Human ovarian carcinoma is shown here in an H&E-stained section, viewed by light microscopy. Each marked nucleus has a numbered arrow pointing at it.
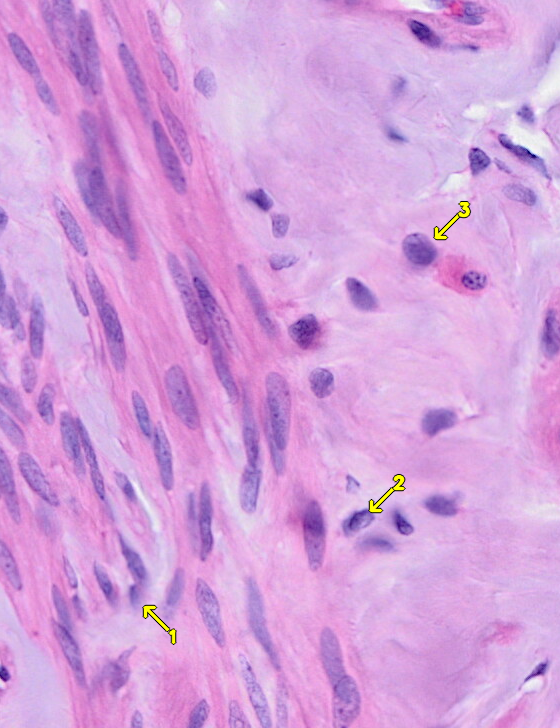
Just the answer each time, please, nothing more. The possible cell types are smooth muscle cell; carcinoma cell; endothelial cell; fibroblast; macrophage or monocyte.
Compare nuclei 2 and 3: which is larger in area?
3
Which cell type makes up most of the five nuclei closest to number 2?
fibroblast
